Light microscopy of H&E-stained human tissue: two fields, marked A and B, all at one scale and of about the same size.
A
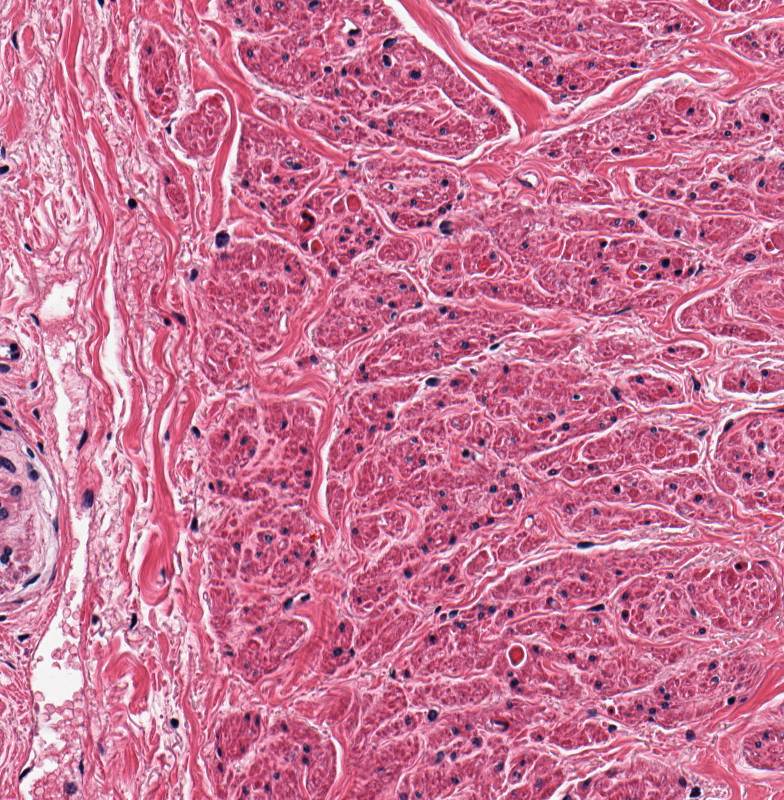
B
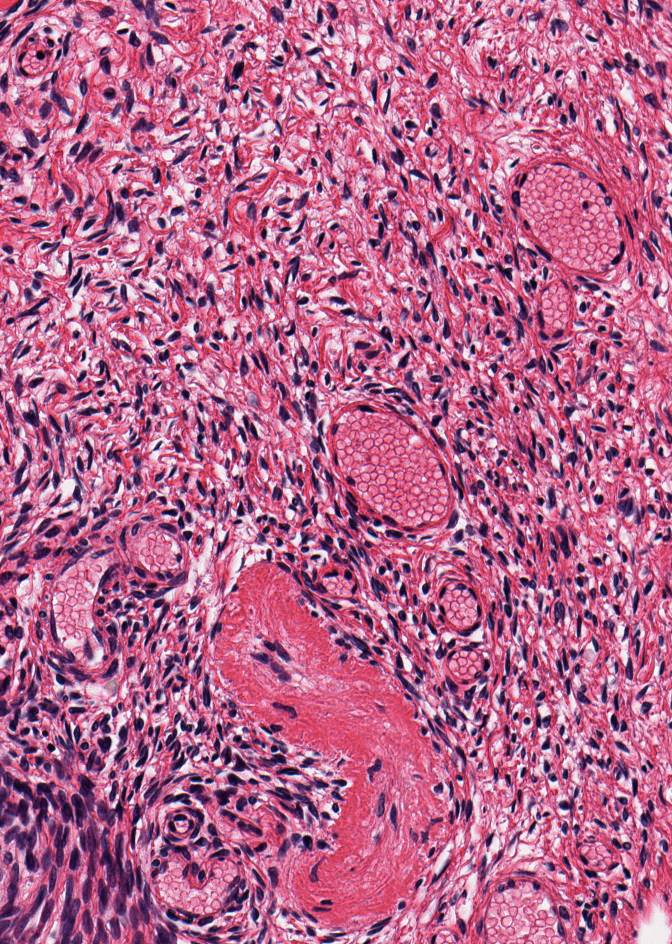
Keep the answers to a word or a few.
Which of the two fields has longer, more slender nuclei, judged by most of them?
B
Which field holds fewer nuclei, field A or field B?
A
